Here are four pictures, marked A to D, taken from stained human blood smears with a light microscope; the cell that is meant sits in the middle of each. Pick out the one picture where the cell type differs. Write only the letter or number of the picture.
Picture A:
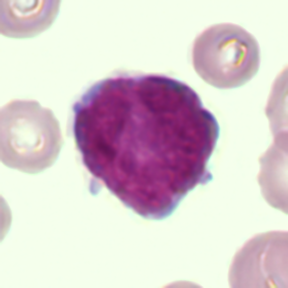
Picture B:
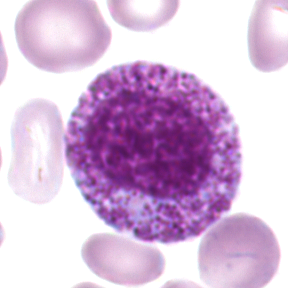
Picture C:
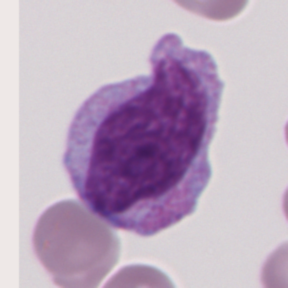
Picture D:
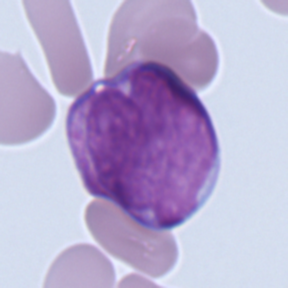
B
